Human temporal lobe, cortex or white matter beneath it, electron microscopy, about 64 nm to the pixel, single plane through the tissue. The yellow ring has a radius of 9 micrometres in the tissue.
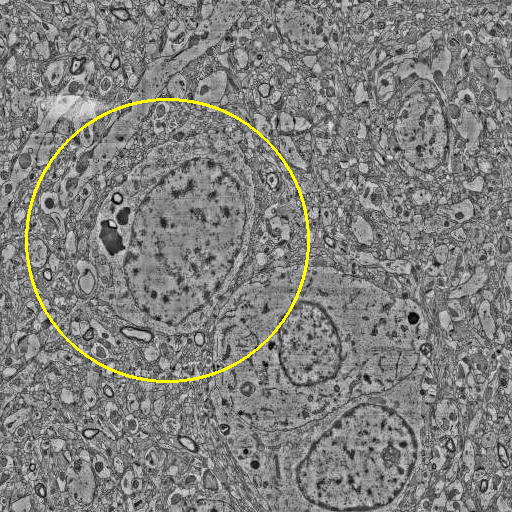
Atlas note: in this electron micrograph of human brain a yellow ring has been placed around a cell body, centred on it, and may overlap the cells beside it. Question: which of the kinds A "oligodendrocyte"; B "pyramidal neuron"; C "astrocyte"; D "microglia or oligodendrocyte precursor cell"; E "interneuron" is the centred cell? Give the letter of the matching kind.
E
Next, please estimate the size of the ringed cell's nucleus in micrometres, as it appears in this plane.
Clearly longer than it is wide in this plane, the nucleus measures roughly 11 by 7 micrometres.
